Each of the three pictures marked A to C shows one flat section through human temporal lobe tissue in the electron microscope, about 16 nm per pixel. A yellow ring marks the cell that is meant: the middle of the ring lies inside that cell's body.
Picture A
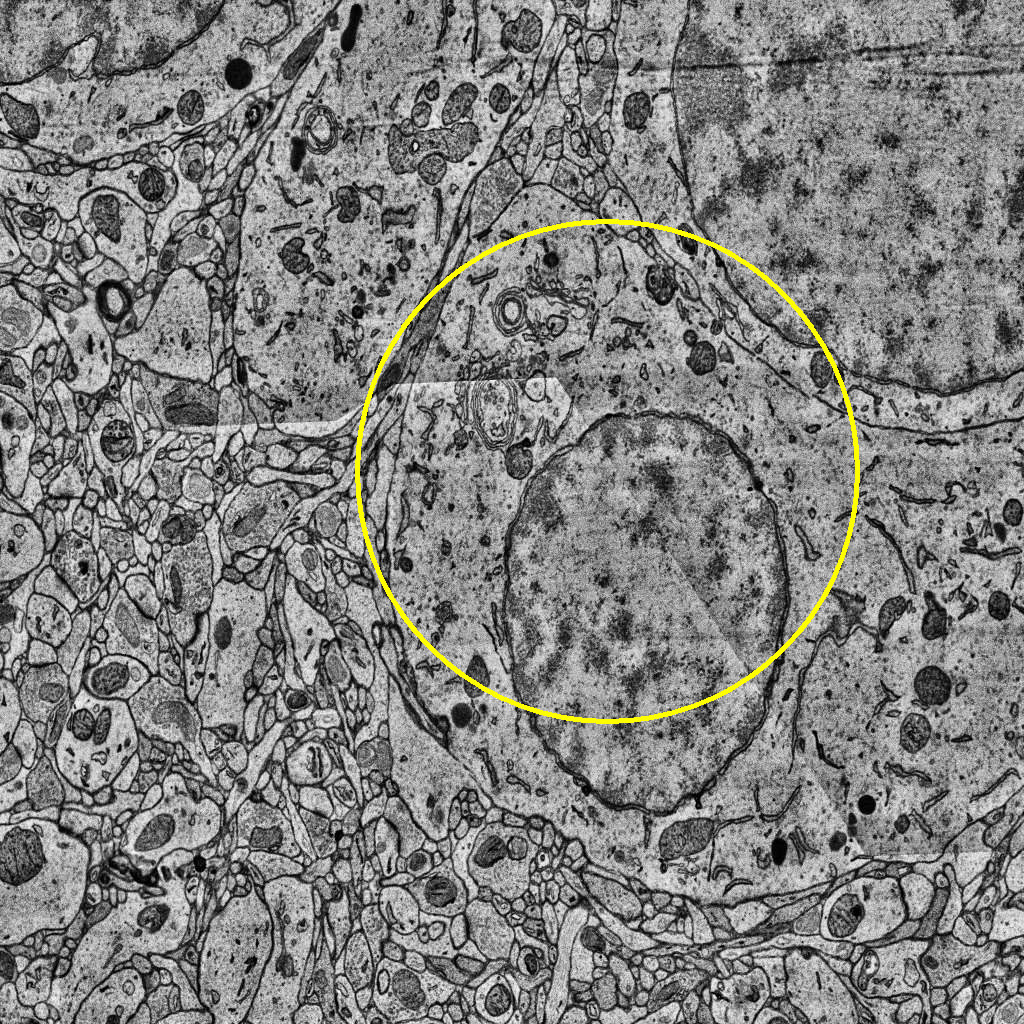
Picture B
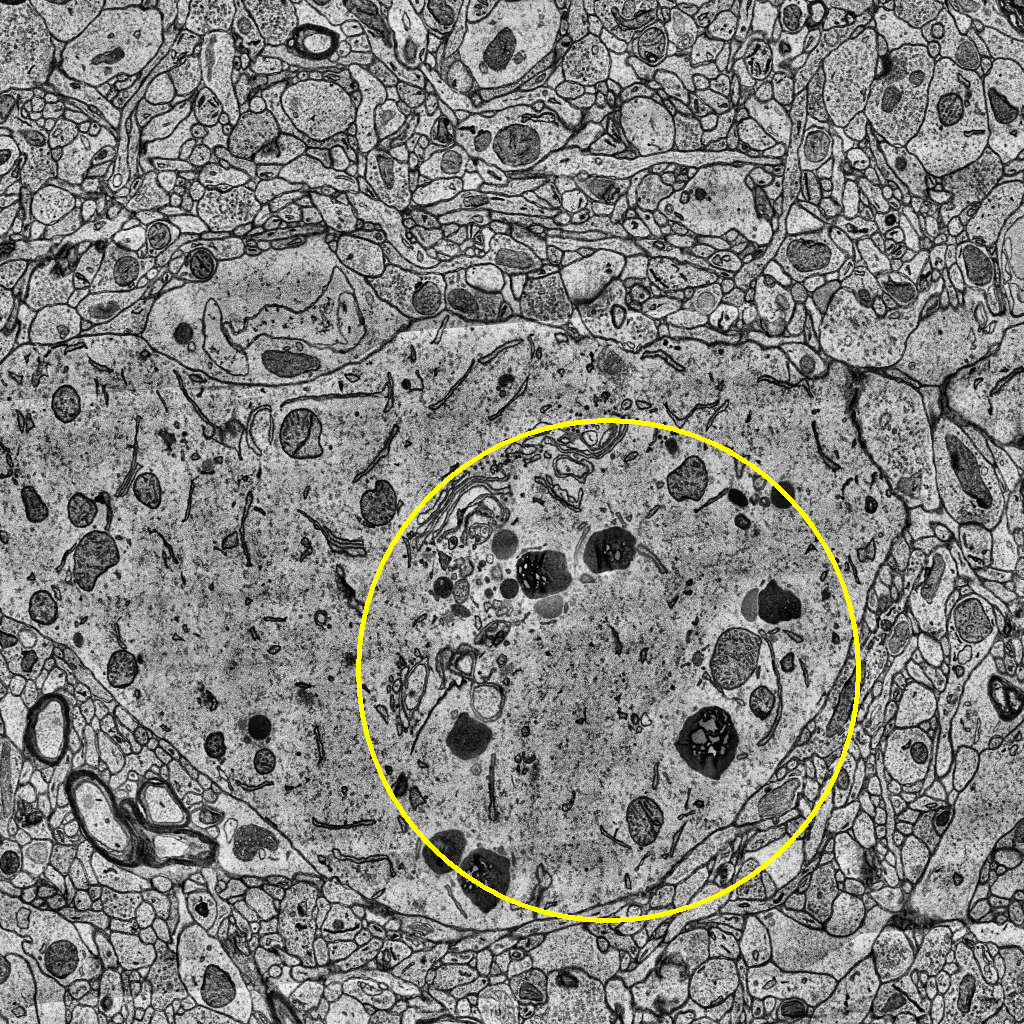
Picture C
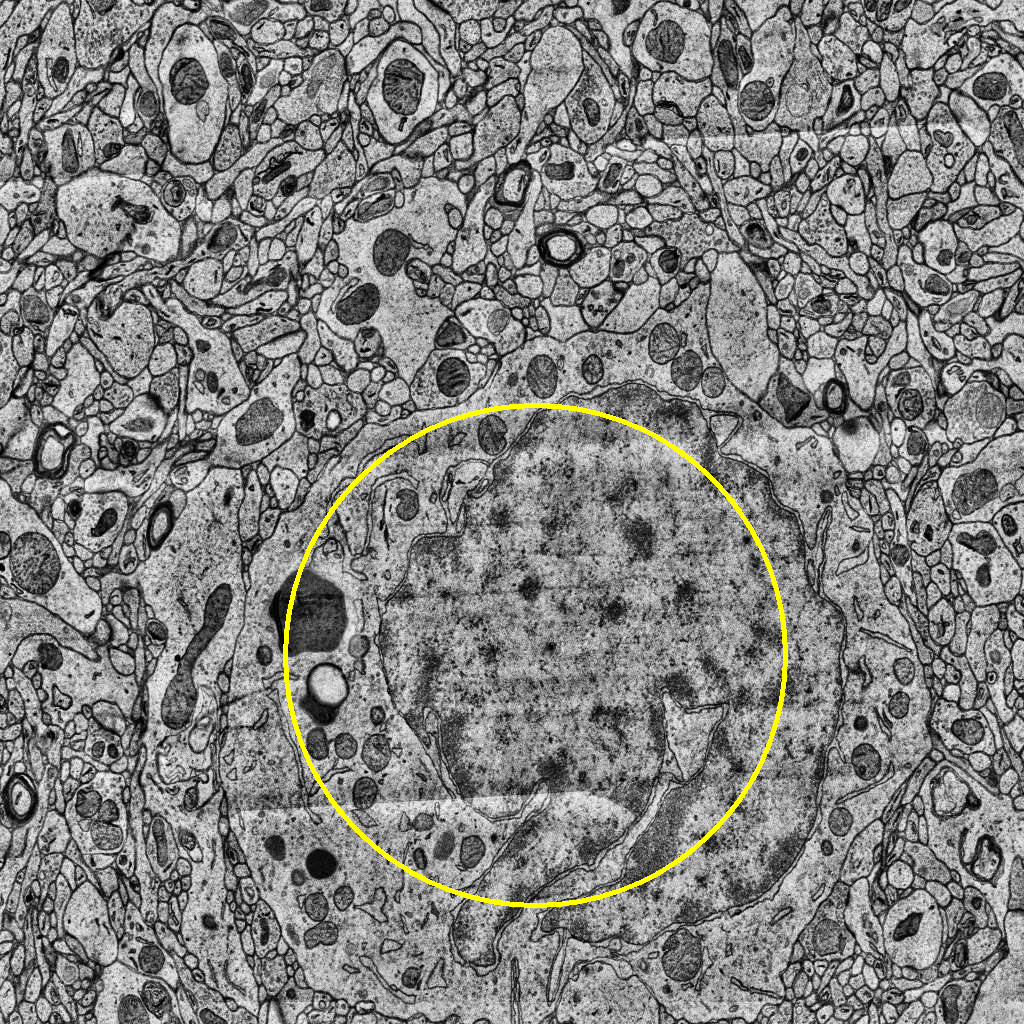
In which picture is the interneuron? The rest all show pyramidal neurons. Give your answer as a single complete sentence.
The interneuron is the one in picture C.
